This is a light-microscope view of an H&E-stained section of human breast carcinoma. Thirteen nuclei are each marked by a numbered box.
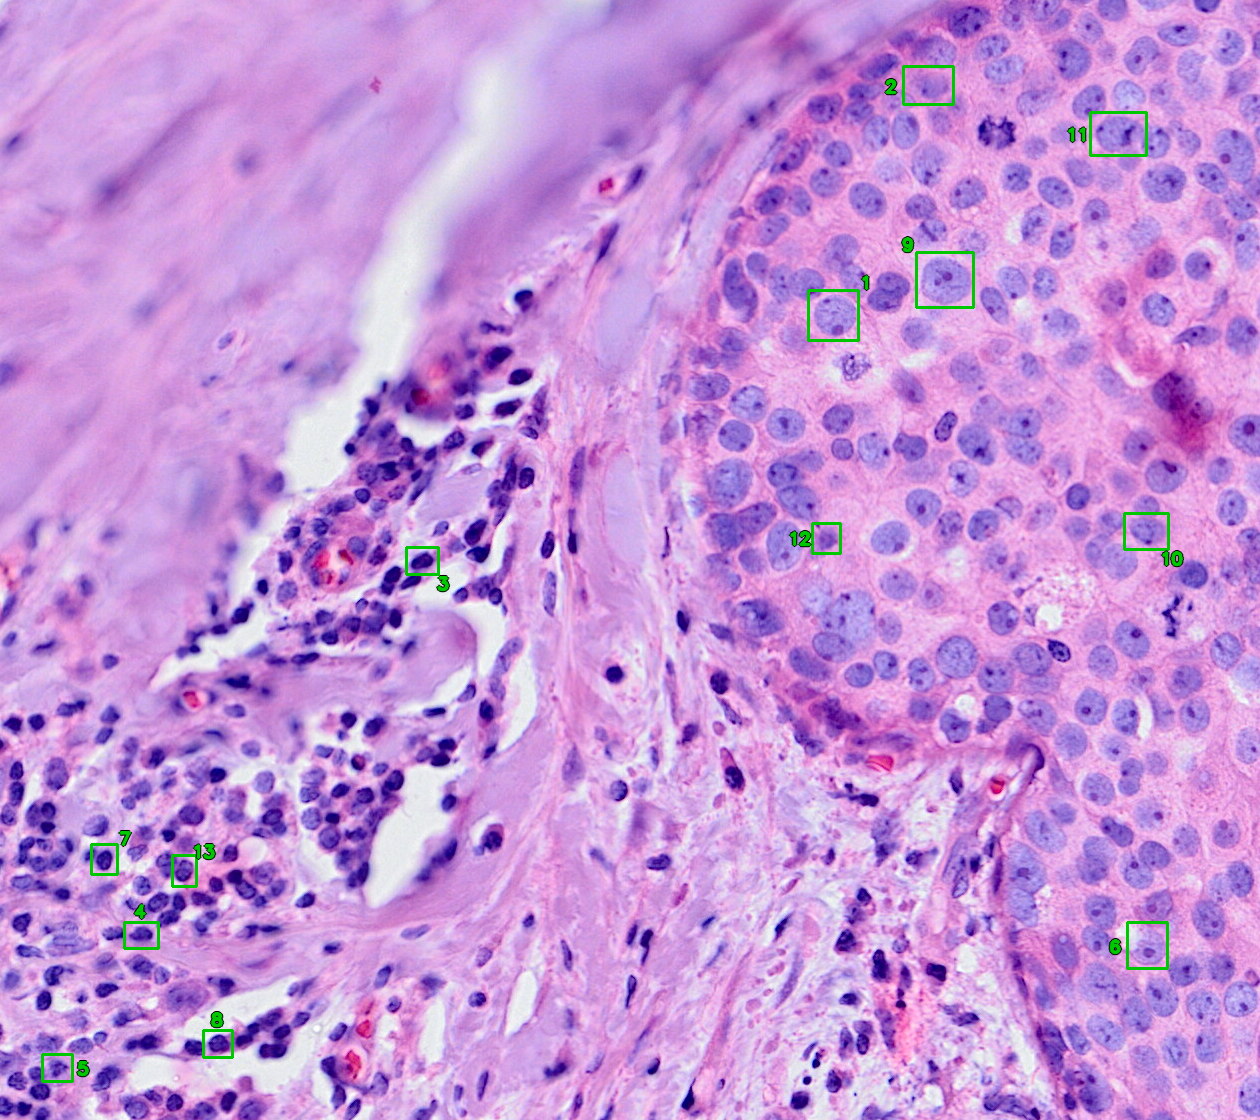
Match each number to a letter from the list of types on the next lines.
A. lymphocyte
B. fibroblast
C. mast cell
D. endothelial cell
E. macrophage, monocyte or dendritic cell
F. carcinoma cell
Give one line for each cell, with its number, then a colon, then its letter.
1: F
2: F
3: A
4: A
5: A
6: F
7: A
8: A
9: F
10: F
11: F
12: F
13: A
